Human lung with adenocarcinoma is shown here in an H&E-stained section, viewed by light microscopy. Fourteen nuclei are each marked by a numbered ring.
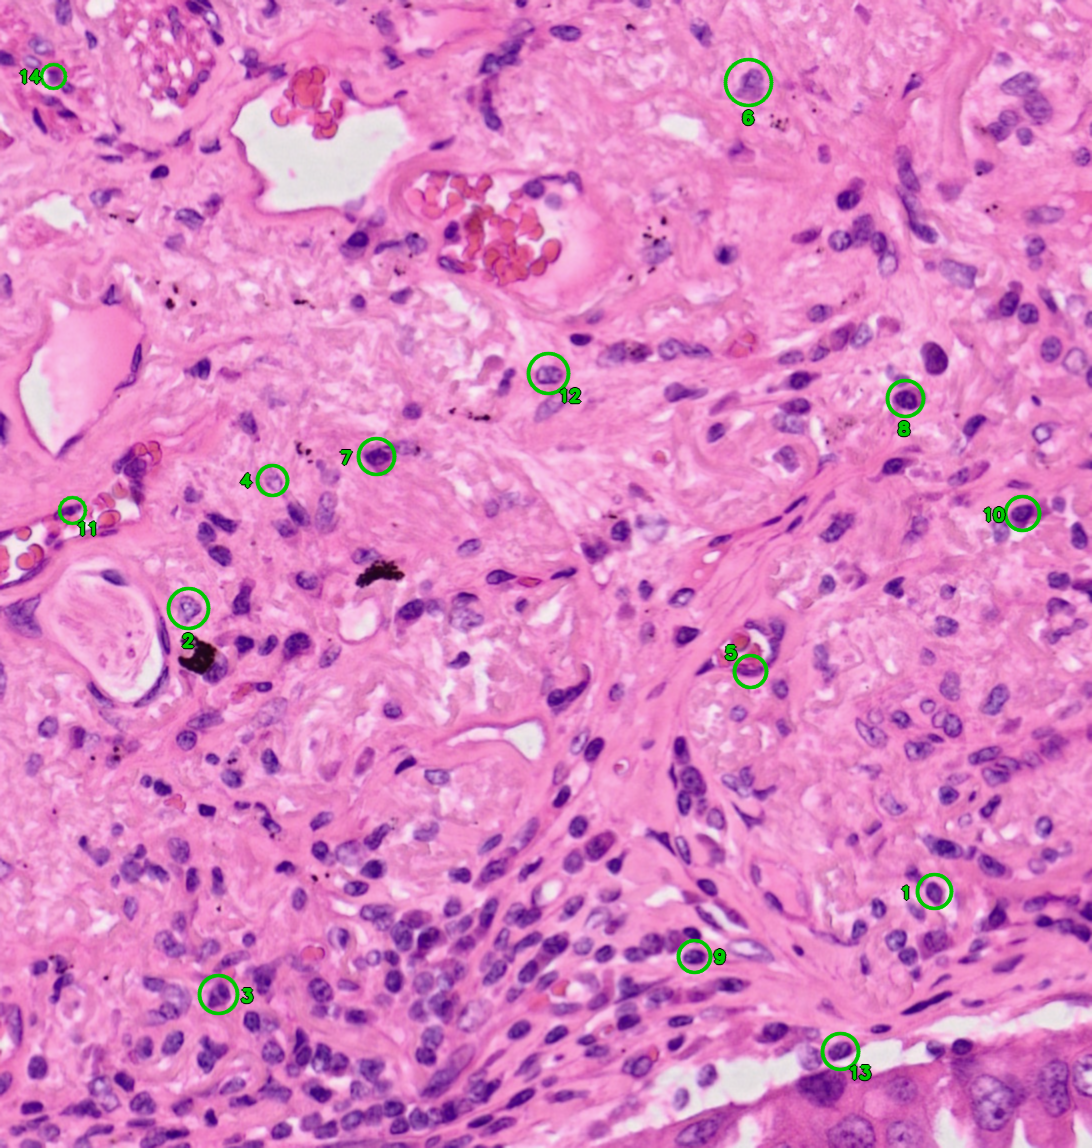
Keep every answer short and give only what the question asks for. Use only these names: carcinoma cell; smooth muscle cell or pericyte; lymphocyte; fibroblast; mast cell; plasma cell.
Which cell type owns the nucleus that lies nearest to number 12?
fibroblast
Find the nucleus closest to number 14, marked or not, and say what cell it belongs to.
smooth muscle cell or pericyte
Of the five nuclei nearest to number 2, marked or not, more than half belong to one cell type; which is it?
plasma cell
